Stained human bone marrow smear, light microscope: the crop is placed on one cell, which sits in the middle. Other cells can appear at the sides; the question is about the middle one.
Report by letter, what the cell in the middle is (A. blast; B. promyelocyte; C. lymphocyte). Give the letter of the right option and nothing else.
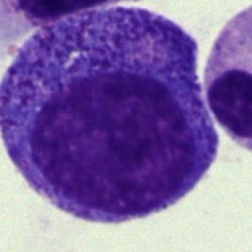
B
